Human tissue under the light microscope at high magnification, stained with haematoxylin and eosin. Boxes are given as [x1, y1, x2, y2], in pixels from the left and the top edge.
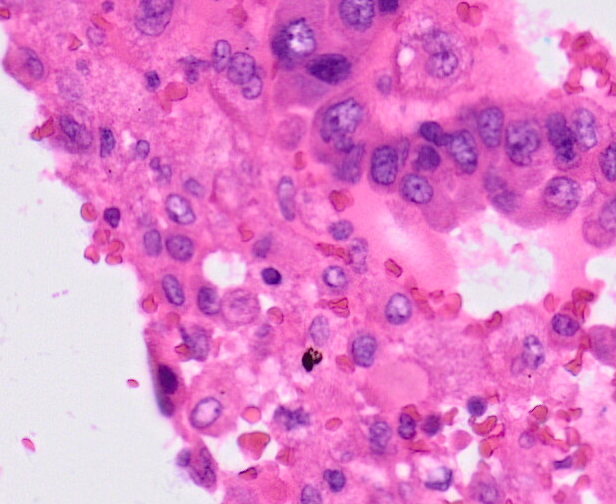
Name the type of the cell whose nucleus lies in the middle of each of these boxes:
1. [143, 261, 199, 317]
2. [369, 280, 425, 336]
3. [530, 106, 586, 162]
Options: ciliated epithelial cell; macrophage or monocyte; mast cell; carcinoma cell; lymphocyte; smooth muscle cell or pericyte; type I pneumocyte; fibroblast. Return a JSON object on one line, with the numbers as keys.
{"1": "macrophage or monocyte", "2": "macrophage or monocyte", "3": "carcinoma cell"}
